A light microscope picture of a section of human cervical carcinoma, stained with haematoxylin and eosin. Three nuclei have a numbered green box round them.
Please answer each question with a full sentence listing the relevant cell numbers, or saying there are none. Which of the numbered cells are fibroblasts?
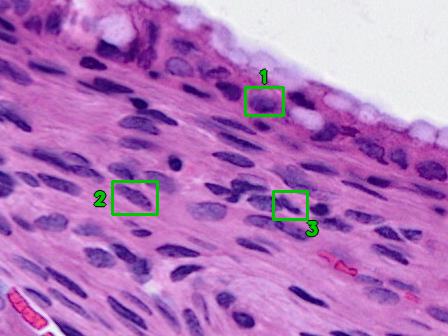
The cells carrying the numbers 2 and 3 are fibroblasts.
